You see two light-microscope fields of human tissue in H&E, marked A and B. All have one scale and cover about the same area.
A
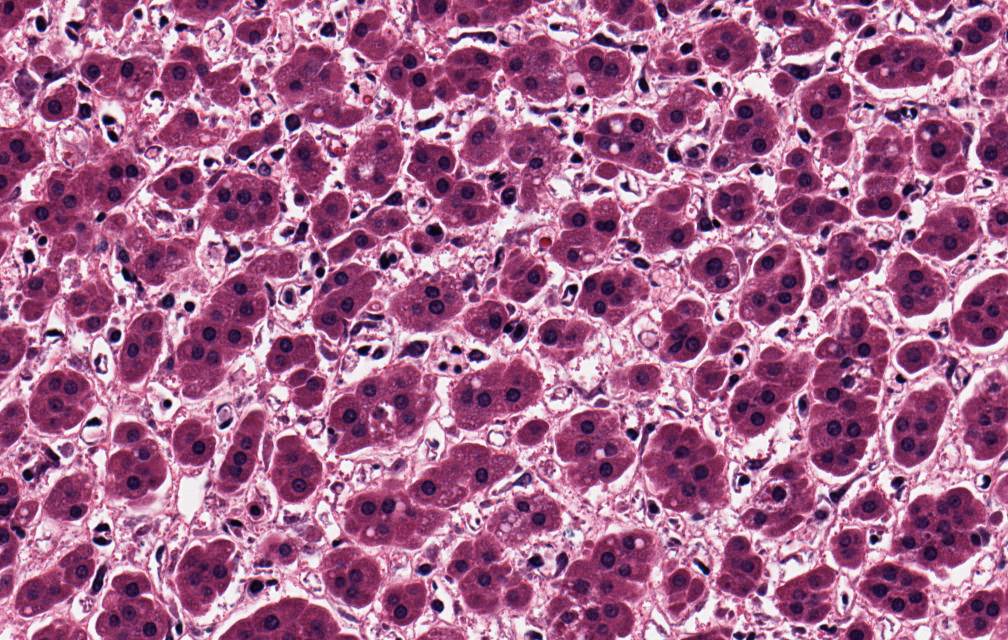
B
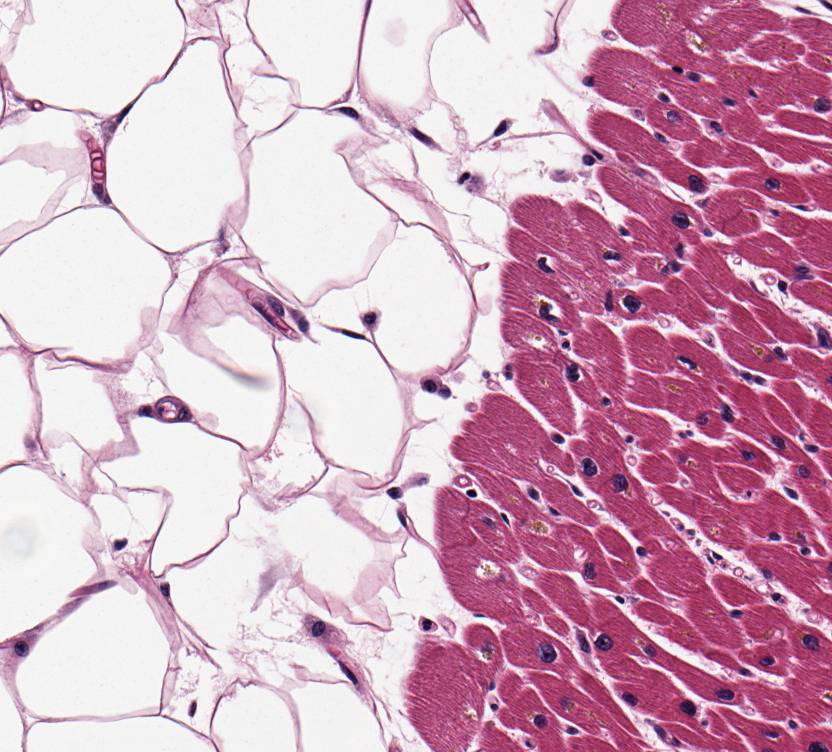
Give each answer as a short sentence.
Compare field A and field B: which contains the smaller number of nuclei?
Fewer nuclei lie in field B than in field A.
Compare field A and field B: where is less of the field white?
It is field A that stained tissue fills more completely.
